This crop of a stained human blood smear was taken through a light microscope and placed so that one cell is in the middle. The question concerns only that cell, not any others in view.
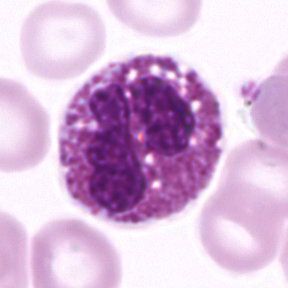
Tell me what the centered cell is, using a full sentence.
Occupying the centre of the crop is an eosinophil.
